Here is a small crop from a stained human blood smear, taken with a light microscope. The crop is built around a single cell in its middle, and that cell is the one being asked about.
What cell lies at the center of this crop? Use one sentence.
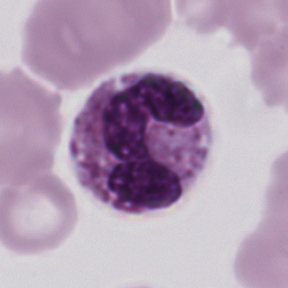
The crop centres on a single cell, and that cell is an eosinophil.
